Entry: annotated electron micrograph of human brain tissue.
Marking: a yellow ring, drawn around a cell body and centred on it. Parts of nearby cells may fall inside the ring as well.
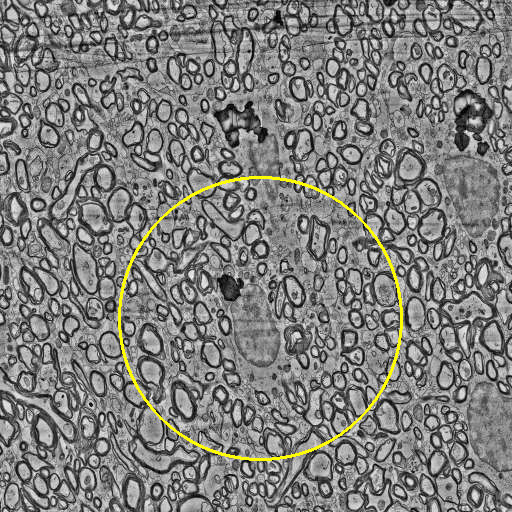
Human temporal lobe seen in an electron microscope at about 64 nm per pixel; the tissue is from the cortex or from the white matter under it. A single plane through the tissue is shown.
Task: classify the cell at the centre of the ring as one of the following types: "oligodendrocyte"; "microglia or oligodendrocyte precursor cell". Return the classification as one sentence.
The marked cell is classified as an oligodendrocyte.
